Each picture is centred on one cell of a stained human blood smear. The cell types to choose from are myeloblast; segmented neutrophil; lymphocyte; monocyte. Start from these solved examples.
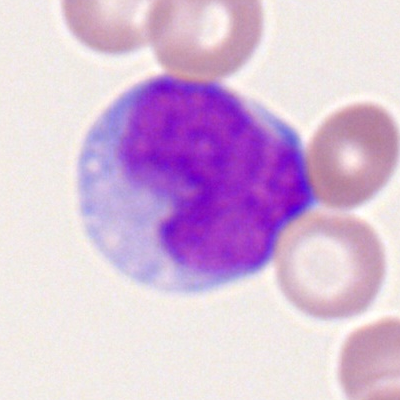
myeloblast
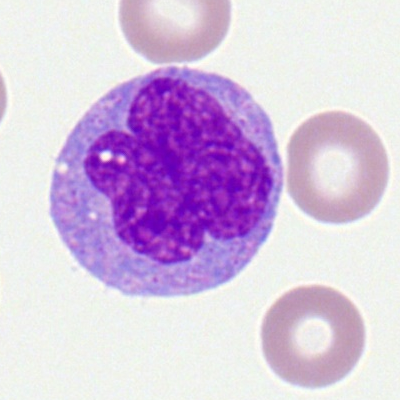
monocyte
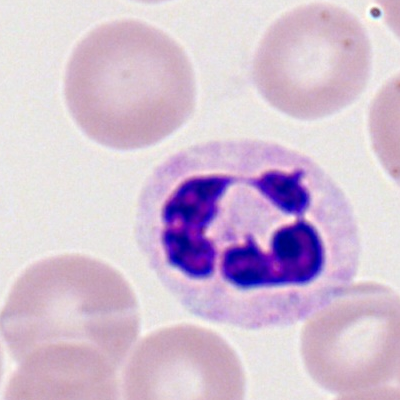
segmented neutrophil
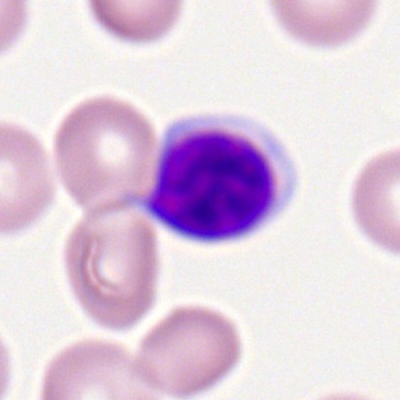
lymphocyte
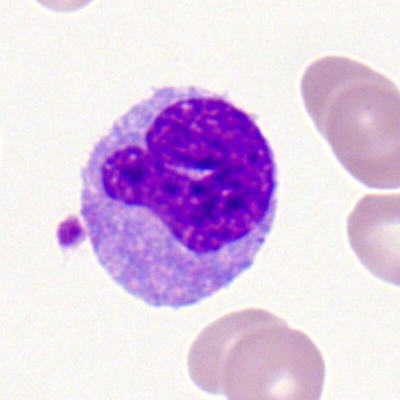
monocyte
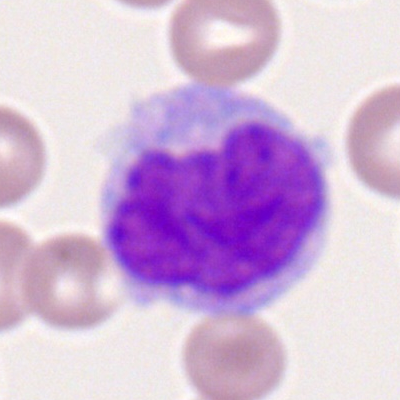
monocyte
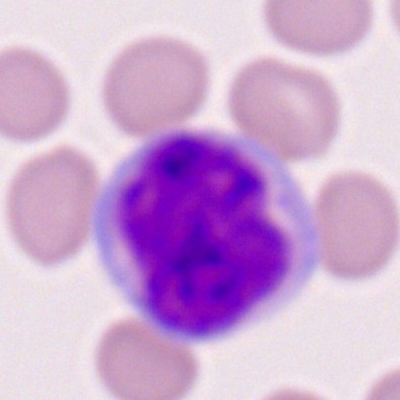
monocyte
